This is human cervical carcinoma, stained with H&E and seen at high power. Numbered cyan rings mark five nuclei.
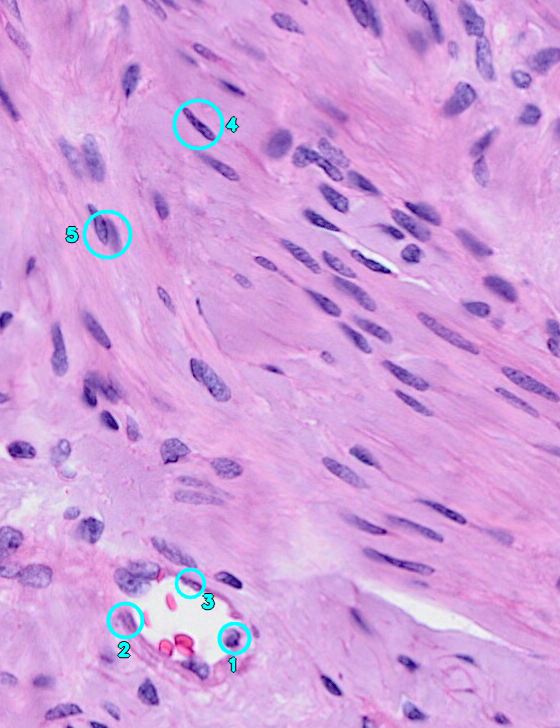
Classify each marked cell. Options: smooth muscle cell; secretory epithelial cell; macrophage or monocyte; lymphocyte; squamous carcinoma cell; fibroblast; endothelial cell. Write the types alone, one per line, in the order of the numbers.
endothelial cell
endothelial cell
endothelial cell
fibroblast
fibroblast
